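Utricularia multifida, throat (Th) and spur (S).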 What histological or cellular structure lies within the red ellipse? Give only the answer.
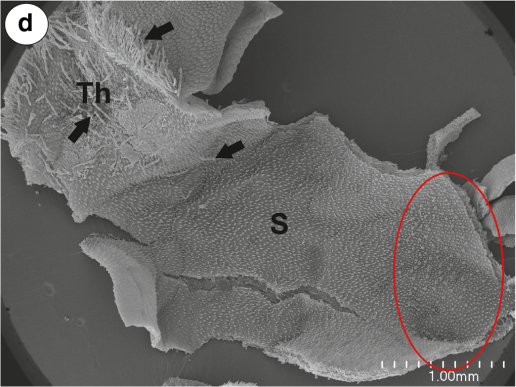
Nectar trichomes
